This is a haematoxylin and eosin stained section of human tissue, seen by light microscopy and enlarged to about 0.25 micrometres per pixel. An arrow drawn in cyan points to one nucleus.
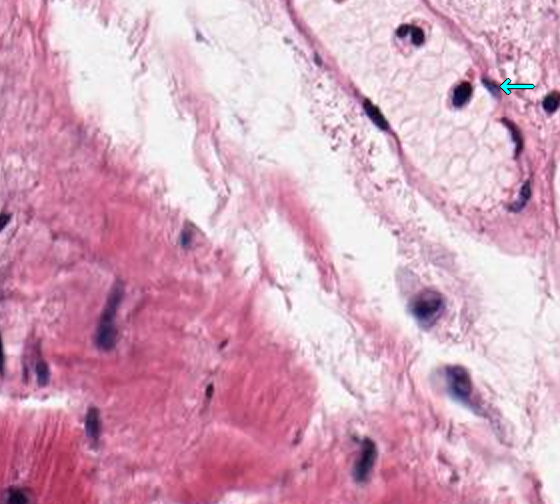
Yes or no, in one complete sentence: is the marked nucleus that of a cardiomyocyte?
No, the marked nucleus is assigned not to a cardiomyocyte but to a supporting cell.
